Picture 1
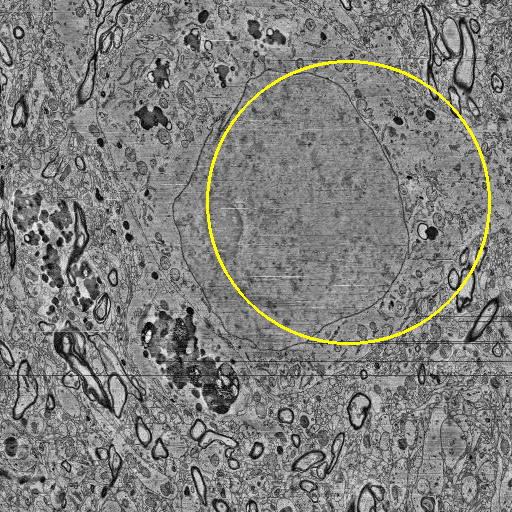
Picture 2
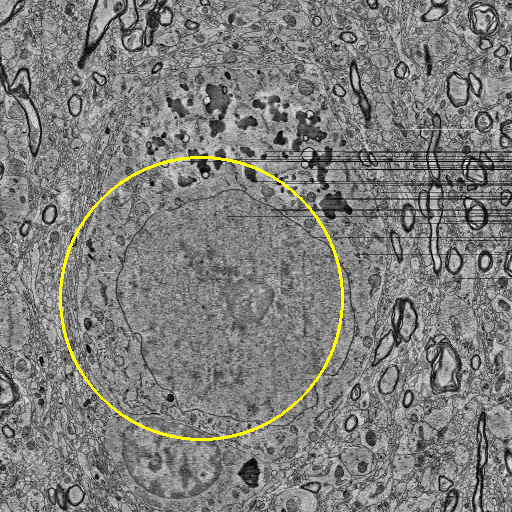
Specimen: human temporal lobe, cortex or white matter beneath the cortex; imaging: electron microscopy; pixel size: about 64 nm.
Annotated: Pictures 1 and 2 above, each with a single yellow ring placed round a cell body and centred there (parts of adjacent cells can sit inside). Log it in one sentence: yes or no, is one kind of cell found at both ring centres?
Yes, the ring centres of the two pictures hold cells of one kind.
